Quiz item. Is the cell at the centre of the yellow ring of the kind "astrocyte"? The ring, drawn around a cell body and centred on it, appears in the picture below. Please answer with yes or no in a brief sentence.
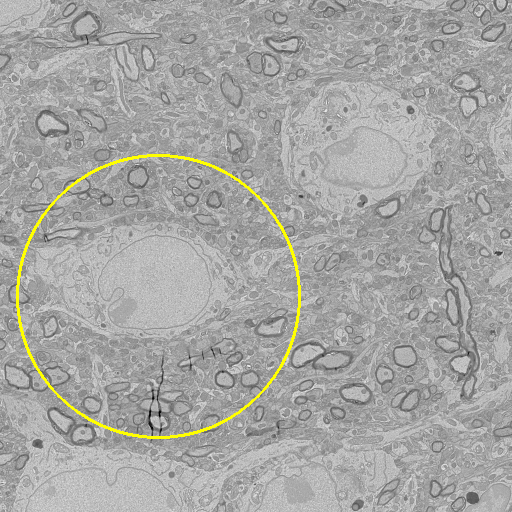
No, it is another kind of cell.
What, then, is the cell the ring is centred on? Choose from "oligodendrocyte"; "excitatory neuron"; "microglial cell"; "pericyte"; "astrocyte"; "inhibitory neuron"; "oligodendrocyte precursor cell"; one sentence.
The answer is that the ringed cell is an excitatory neuron.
